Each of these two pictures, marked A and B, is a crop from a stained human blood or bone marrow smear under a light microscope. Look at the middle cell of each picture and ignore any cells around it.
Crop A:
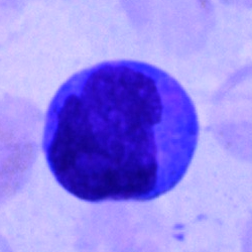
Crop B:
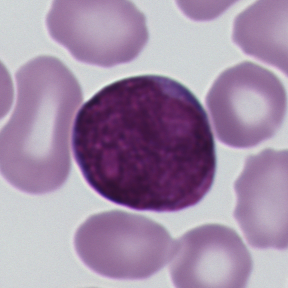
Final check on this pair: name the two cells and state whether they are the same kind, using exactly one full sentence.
Yes, the cells under consideration in both crops are blasts.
